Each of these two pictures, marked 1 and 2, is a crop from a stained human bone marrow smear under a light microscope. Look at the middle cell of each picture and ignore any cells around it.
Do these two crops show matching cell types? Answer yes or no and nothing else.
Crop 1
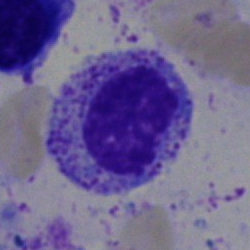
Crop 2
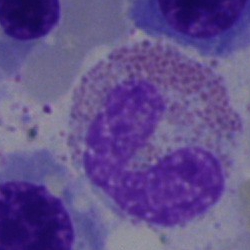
no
